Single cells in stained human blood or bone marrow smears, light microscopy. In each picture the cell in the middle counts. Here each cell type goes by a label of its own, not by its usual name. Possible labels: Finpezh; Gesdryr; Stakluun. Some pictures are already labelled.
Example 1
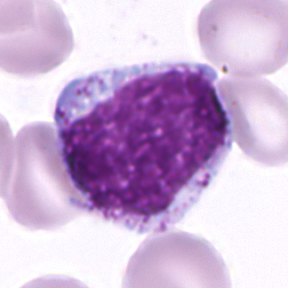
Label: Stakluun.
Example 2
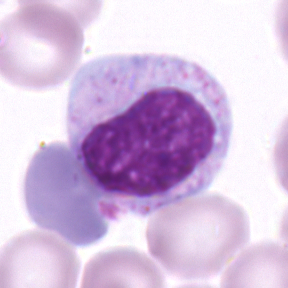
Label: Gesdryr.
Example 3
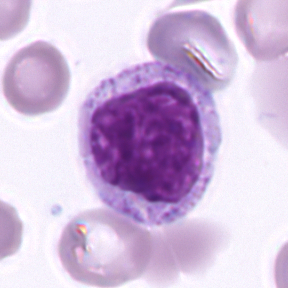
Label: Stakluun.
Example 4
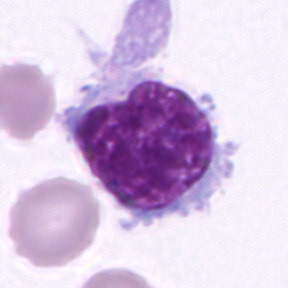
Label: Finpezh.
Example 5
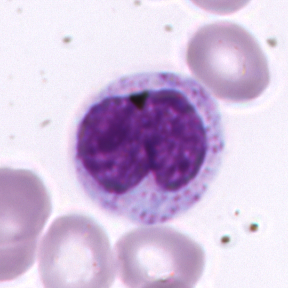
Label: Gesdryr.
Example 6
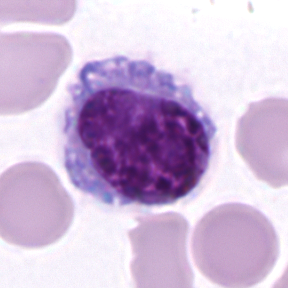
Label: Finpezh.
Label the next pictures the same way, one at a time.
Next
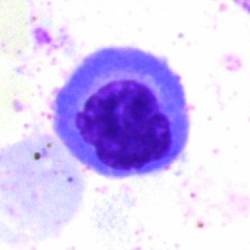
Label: Finpezh.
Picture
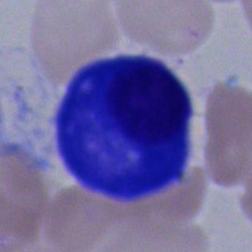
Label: Finpezh.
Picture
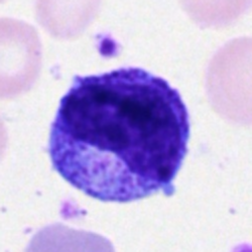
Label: Gesdryr.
